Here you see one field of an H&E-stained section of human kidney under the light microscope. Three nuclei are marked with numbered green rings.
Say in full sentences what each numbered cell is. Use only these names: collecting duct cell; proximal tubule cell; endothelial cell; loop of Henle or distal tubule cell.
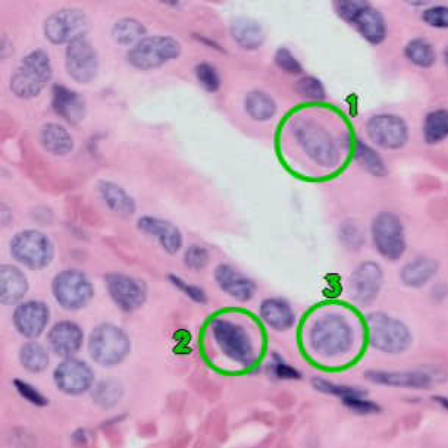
Cell 1 is a collecting duct cell, cell 2 is an endothelial cell and cell 3 is a collecting duct cell.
